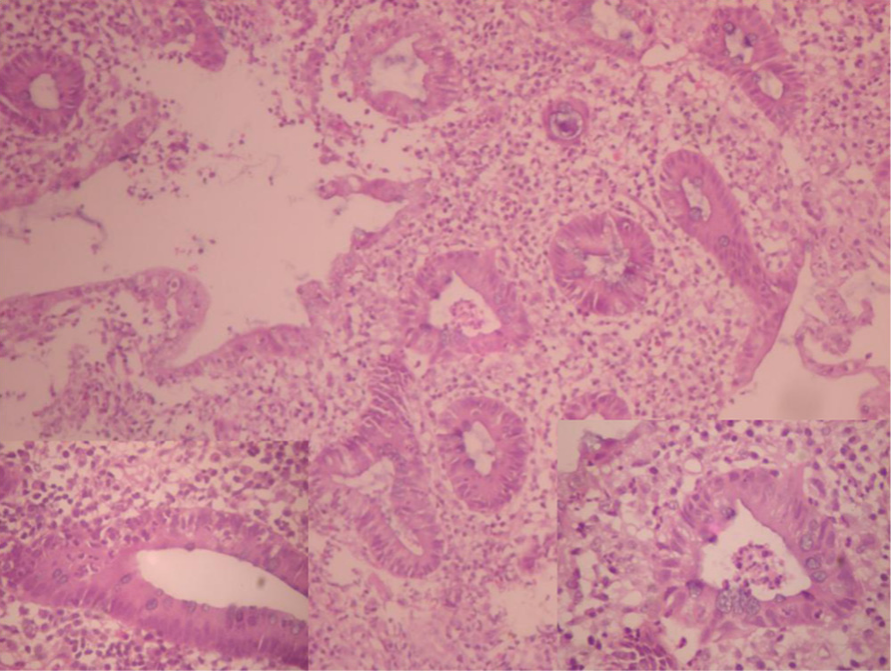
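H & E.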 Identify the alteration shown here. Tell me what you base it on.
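The lamina propria between the glands is densely packed with small round inflammatory cells. The infiltrate fills the spaces between crypts.
Intense inflammation.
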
